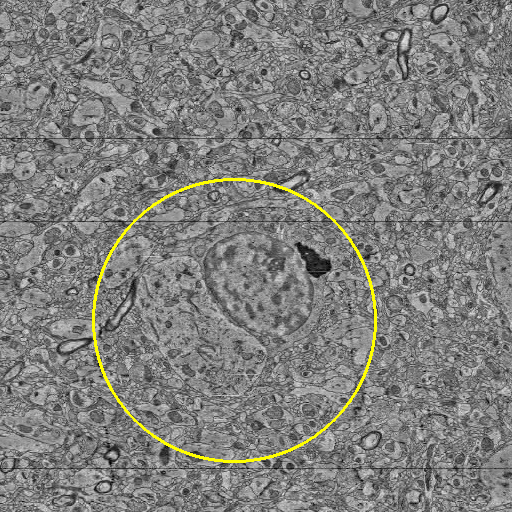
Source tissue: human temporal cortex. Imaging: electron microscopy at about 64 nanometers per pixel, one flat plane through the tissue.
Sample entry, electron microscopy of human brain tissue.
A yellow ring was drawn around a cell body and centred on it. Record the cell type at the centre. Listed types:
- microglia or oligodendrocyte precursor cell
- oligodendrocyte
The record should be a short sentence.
The cell at the ring's centre is an oligodendrocyte.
